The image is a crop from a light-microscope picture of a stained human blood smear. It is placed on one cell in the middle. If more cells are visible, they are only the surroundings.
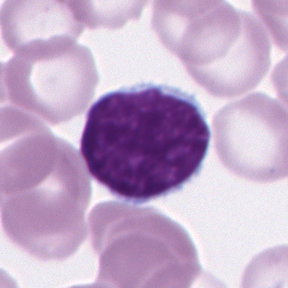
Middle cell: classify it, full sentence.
The crop's centre is taken up by a typical lymphocyte.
